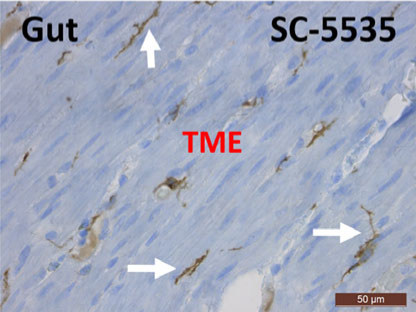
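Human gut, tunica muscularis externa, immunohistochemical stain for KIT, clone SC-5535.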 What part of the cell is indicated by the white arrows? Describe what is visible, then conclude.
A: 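Brown-stained thin, elongated extensions running between muscle cells. Extensions are much longer than the nuclei nearby.
Hence: long cytoplasmic processes.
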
